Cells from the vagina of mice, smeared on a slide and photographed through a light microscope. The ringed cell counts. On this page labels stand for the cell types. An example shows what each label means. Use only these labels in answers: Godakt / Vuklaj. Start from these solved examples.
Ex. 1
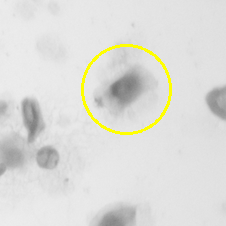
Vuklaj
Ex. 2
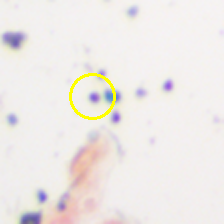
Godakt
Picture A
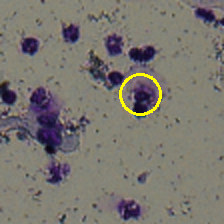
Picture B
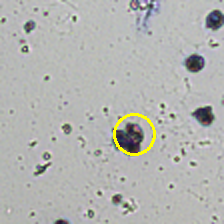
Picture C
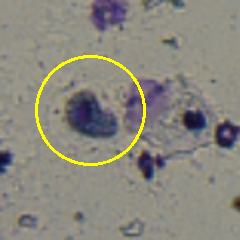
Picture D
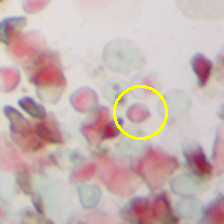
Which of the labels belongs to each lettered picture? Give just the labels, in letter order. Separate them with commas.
Godakt, Godakt, Vuklaj, Vuklaj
